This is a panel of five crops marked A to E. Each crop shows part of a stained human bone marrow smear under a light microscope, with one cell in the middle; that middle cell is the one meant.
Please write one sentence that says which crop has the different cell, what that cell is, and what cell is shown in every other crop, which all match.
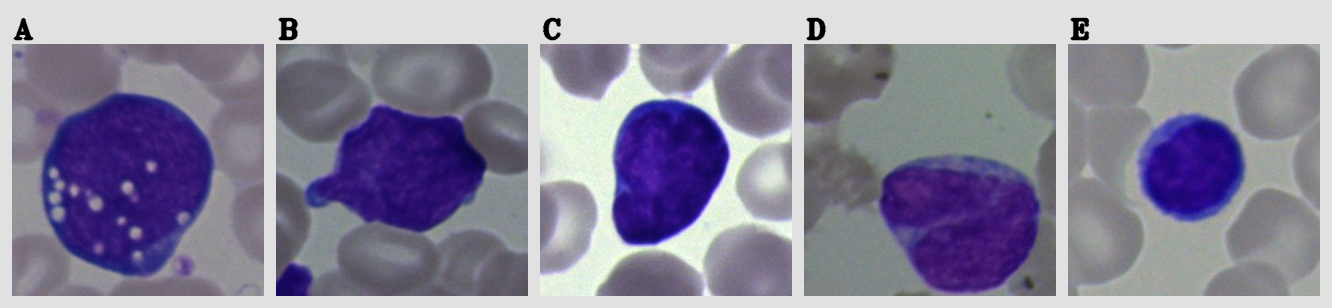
Crop E stands apart from the rest as a lymphocyte, the others all being blasts.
